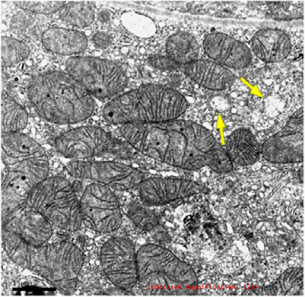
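The mitochondria are oval to elongated, with dark matrix and closely spaced parallel cristae. Between them lie scattered small round pale vesicles bounded by membrane, two of them marked by yellow arrows.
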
